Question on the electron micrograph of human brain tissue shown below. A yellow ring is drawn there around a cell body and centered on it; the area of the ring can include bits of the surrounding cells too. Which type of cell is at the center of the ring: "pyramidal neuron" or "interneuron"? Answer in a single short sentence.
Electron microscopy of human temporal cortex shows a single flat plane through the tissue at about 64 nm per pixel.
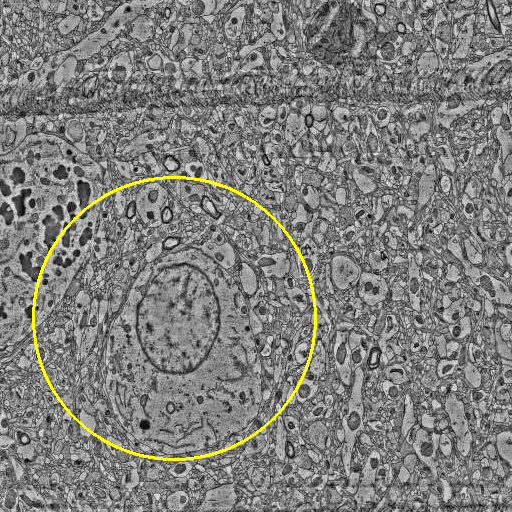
The ring is centered on a pyramidal neuron.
